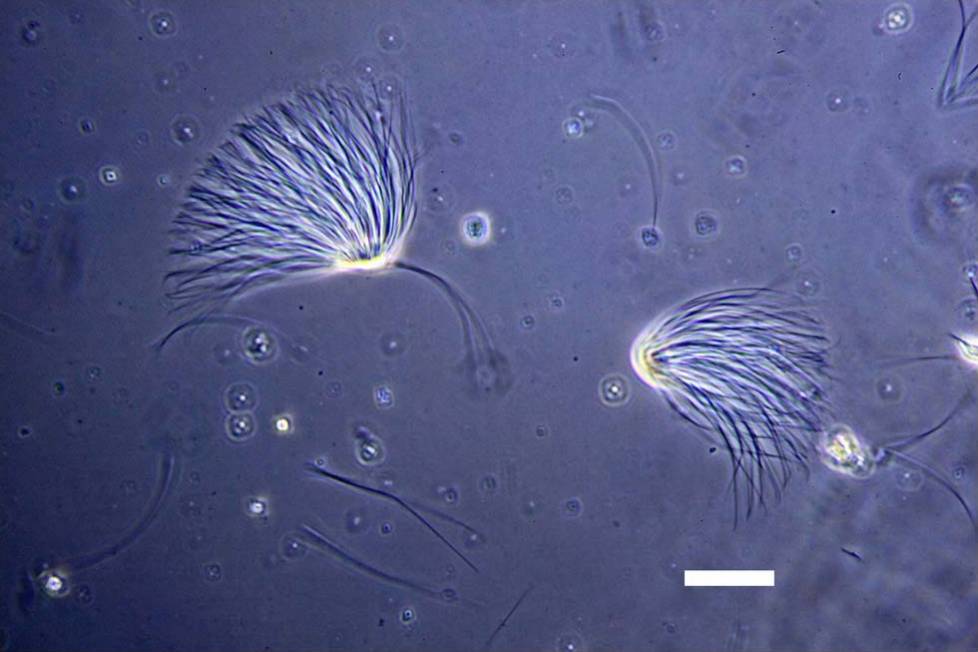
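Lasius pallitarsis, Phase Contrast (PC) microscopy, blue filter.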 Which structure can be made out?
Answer: sperm bundles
